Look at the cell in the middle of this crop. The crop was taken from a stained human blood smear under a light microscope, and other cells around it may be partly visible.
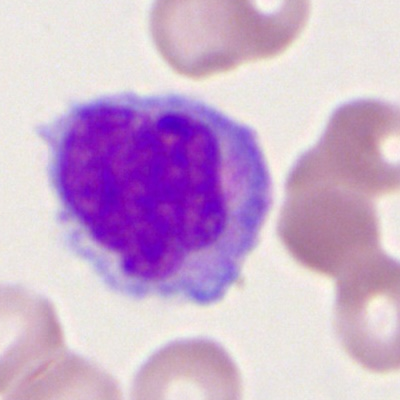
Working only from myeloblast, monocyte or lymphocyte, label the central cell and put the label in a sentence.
The crop shows a monocyte in its centre.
